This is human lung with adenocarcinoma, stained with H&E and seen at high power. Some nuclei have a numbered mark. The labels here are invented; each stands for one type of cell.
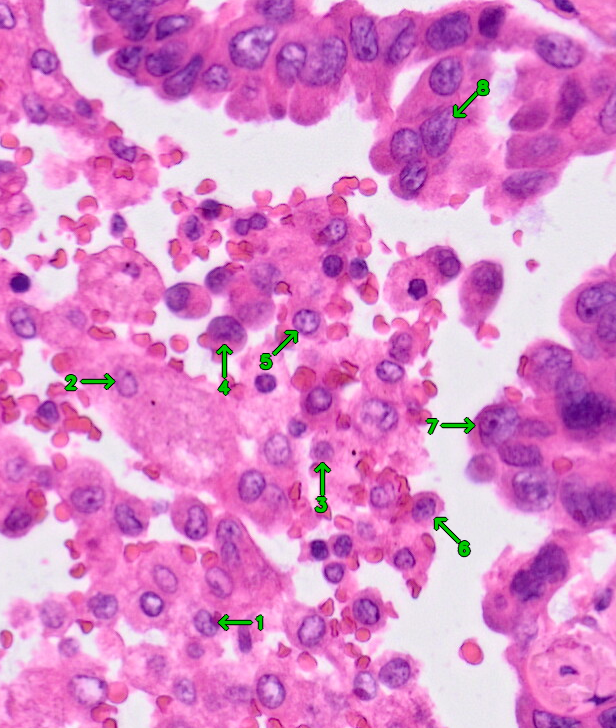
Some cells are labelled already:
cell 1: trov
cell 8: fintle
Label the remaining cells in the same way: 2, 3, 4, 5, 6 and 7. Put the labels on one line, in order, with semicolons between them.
trov; trov; fintle; trov; trov; fintle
